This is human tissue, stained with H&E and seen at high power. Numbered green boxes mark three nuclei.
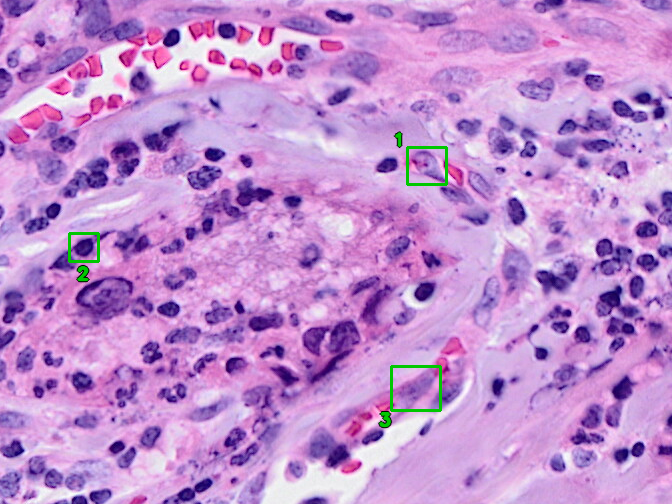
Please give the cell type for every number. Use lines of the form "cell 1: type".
cell 1: endothelial cell
cell 2: lymphocyte
cell 3: endothelial cell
